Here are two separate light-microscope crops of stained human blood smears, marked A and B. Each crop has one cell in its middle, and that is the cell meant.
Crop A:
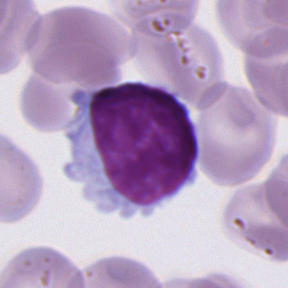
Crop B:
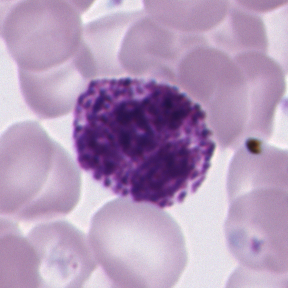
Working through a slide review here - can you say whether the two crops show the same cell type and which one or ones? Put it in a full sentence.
No, a lymphocyte is in crop A, while a basophil is in crop B.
